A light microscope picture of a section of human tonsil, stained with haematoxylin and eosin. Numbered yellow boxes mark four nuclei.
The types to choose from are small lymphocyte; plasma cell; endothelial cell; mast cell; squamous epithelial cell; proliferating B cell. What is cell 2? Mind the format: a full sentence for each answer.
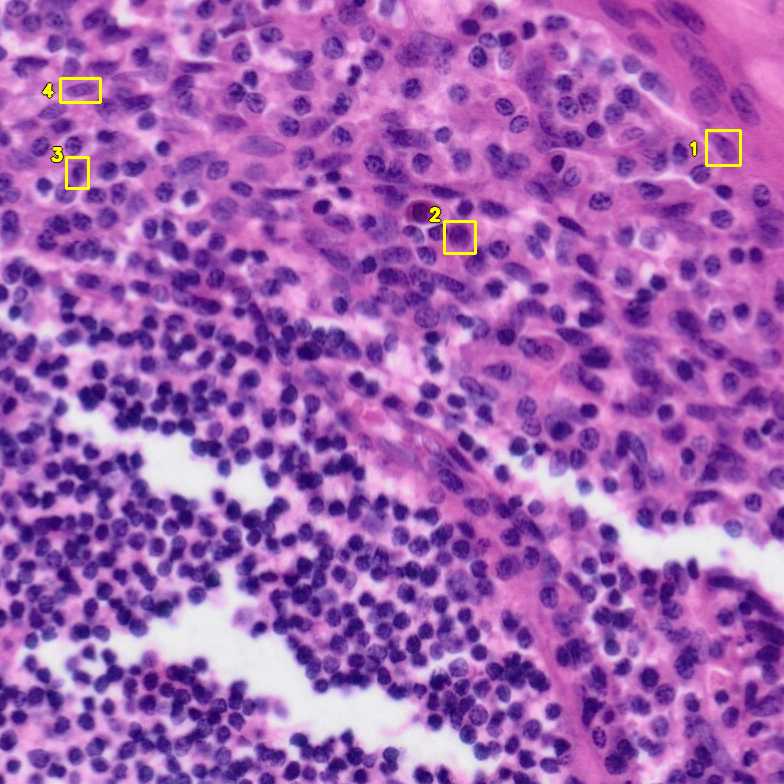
The nucleus with number 2 is that of a squamous epithelial cell.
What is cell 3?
The one numbered 3 among the marked cells is a plasma cell.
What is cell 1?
Number 1 is placed on a squamous epithelial cell here.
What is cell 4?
The cell to which the number 4 is assigned is a squamous epithelial cell.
